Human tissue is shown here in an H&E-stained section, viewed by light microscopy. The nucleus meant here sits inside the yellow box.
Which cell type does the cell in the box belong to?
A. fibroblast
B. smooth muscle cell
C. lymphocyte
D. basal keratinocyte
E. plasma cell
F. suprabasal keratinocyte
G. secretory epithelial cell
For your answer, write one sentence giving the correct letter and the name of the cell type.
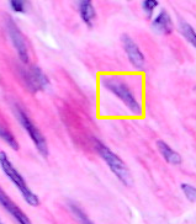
Option B gets it right: the cell in the box is a smooth muscle cell.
